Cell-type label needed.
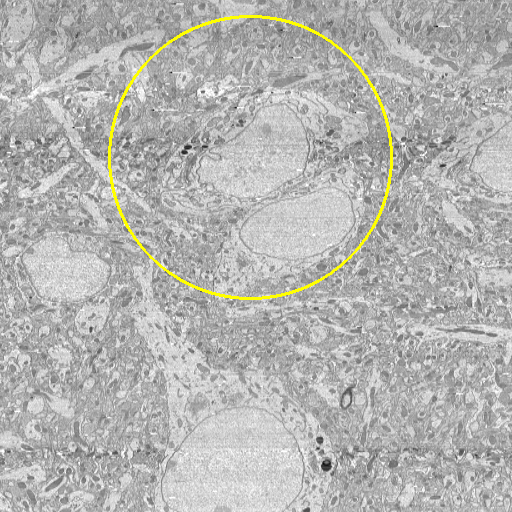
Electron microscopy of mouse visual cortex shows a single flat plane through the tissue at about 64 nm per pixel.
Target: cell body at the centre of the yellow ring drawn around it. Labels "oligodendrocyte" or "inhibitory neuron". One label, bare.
inhibitory neuron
